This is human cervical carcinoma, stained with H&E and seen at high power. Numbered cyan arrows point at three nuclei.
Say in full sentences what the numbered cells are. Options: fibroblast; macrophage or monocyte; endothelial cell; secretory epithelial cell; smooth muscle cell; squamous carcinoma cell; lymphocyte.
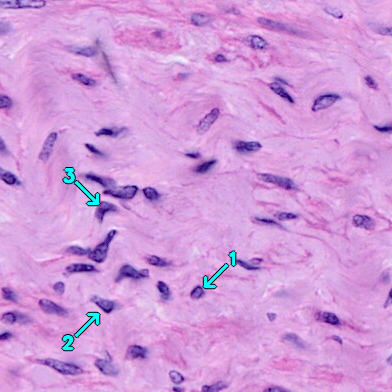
Cell 1 is a smooth muscle cell. Cells 2 and 3 are fibroblasts.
